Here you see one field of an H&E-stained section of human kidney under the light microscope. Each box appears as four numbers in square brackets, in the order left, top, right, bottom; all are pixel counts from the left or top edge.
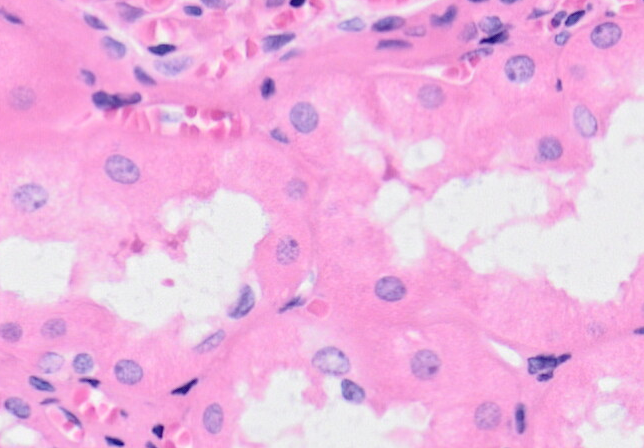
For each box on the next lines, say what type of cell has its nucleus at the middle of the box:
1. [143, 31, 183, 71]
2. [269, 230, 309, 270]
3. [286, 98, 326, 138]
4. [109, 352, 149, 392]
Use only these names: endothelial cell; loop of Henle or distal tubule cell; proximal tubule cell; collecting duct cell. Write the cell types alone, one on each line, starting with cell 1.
endothelial cell
proximal tubule cell
proximal tubule cell
proximal tubule cell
